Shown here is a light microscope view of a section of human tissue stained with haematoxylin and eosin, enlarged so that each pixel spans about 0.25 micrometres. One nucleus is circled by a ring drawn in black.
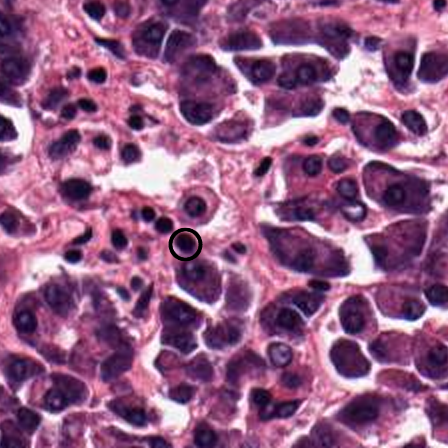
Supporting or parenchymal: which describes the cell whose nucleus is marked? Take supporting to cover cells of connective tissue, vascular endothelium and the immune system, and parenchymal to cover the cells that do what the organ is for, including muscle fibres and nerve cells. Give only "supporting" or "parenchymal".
supporting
